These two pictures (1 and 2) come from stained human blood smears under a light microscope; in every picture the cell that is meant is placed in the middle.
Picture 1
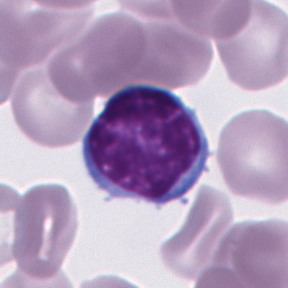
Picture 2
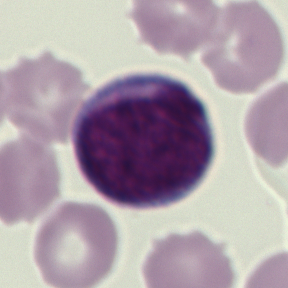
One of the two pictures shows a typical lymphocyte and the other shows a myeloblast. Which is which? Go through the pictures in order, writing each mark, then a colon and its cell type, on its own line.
1: typical lymphocyte
2: myeloblast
